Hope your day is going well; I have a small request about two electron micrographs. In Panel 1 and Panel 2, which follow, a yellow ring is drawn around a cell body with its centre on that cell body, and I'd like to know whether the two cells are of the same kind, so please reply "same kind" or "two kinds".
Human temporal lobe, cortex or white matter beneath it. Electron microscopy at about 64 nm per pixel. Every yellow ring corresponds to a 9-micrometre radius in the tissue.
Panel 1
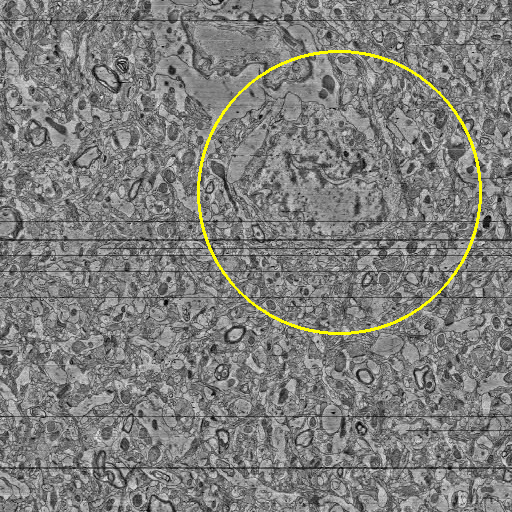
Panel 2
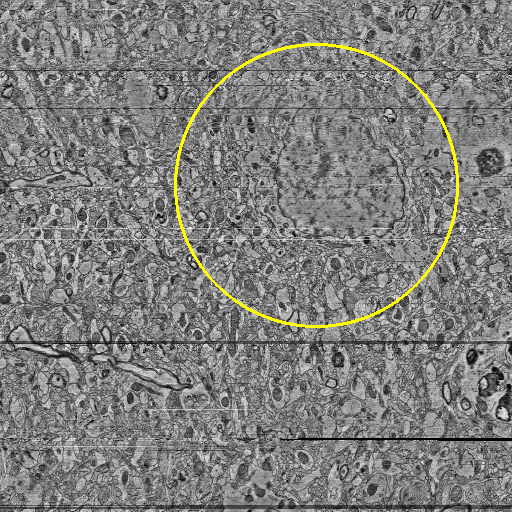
same kind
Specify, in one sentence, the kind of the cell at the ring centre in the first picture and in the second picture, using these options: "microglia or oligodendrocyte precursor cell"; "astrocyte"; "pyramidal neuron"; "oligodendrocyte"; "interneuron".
The cell at the ring centre is an interneuron in both pictures.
